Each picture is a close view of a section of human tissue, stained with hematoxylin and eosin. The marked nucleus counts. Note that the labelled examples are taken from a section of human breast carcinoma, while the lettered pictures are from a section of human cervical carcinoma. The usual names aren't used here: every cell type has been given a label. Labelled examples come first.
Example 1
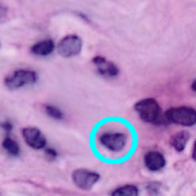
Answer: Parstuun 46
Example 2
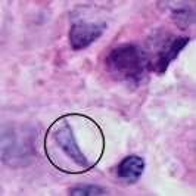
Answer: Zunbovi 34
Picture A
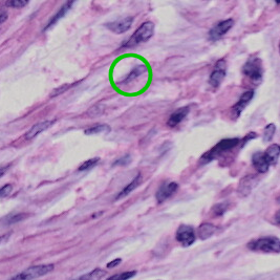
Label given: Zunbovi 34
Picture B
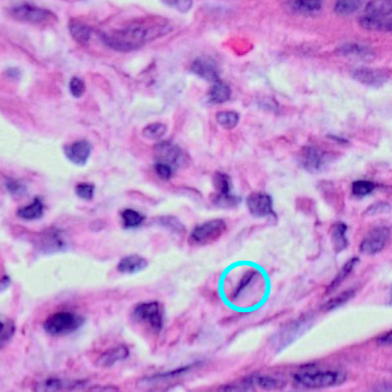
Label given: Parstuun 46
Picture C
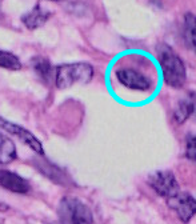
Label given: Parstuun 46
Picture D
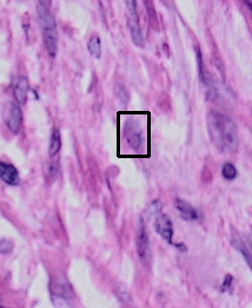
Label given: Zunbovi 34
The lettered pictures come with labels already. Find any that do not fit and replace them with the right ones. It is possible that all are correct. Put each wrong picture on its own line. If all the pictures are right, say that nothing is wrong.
B: Zunbovi 34, not Parstuun 46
